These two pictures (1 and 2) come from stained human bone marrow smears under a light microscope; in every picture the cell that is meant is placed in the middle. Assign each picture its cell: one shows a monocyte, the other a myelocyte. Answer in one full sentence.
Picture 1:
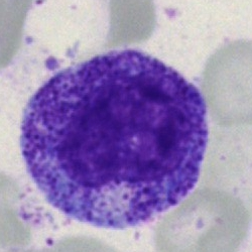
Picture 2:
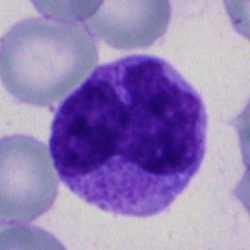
Picture 1 is of a myelocyte, and picture 2 is of a monocyte.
